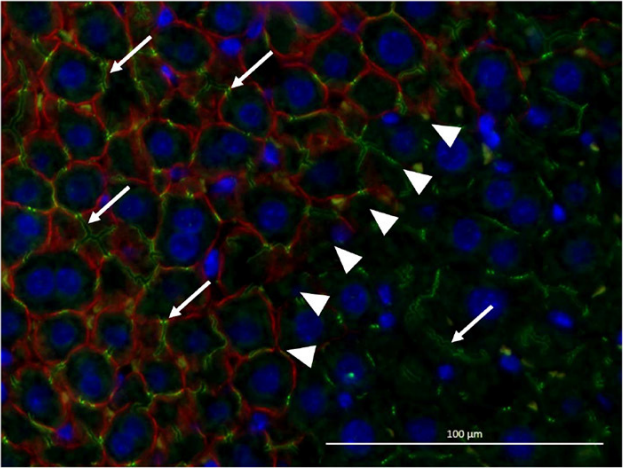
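Liver parenchyma of polygonal hepatocytes with large round blue nuclei, packed in a continuous sheet. In the left part the cell outlines are ringed in red, with small green dots and short green lines between neighbouring cells, while to the right of a line of arrowheads the red outlines are missing and only the fine green marks between cells remain. Small, dense blue nuclei of other cells lie scattered between the hepatocytes.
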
